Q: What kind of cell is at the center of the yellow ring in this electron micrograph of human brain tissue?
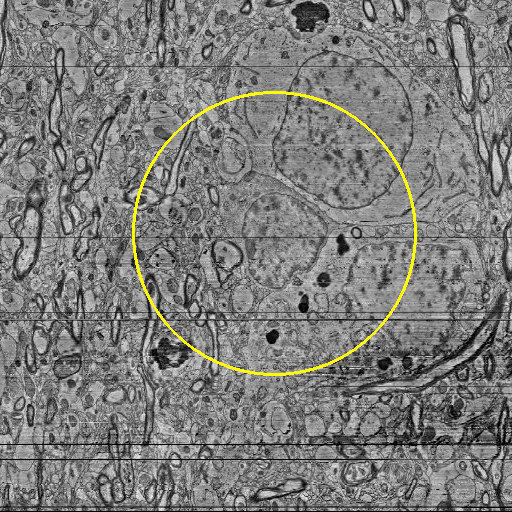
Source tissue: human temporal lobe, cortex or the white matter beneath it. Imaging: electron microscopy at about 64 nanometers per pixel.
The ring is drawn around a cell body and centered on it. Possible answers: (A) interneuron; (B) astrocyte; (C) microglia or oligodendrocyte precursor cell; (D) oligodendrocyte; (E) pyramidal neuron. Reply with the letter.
D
